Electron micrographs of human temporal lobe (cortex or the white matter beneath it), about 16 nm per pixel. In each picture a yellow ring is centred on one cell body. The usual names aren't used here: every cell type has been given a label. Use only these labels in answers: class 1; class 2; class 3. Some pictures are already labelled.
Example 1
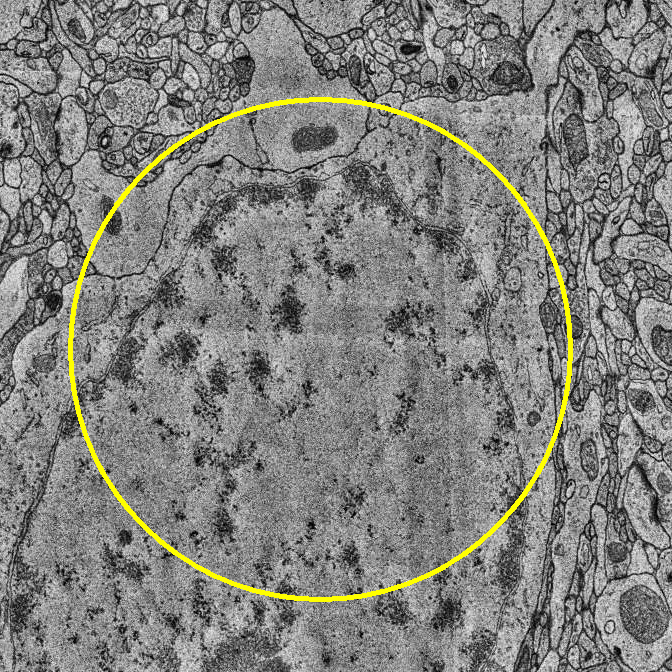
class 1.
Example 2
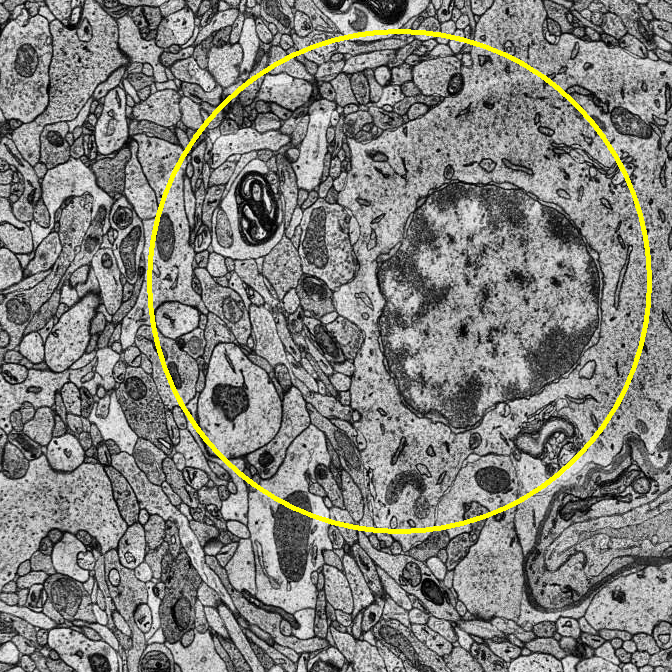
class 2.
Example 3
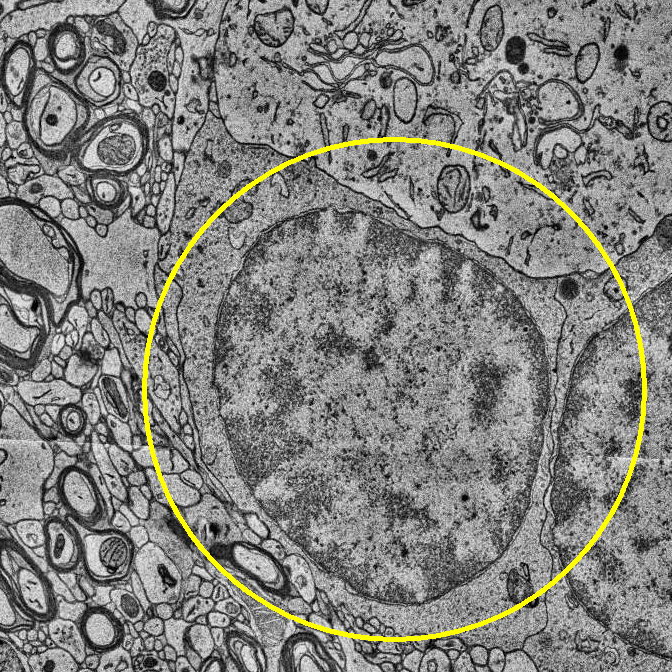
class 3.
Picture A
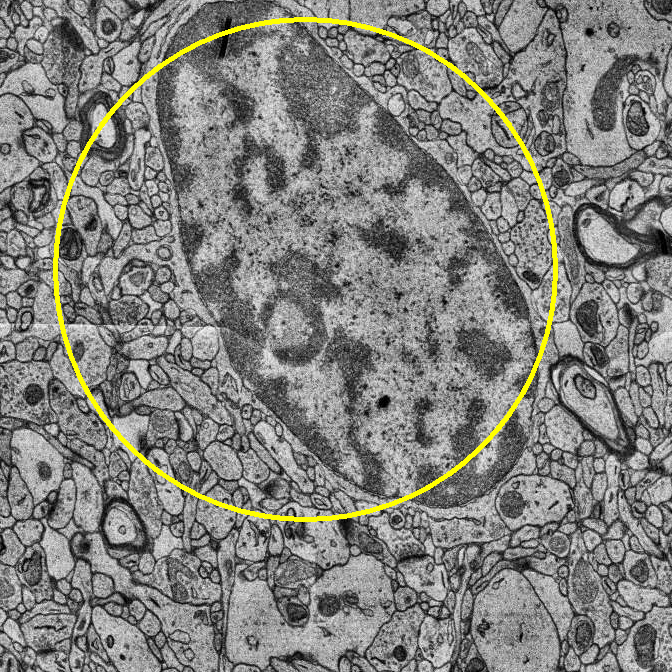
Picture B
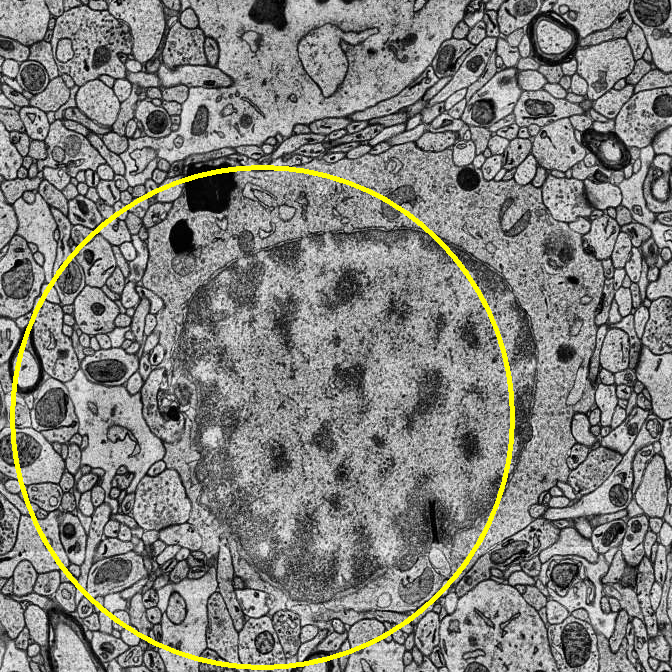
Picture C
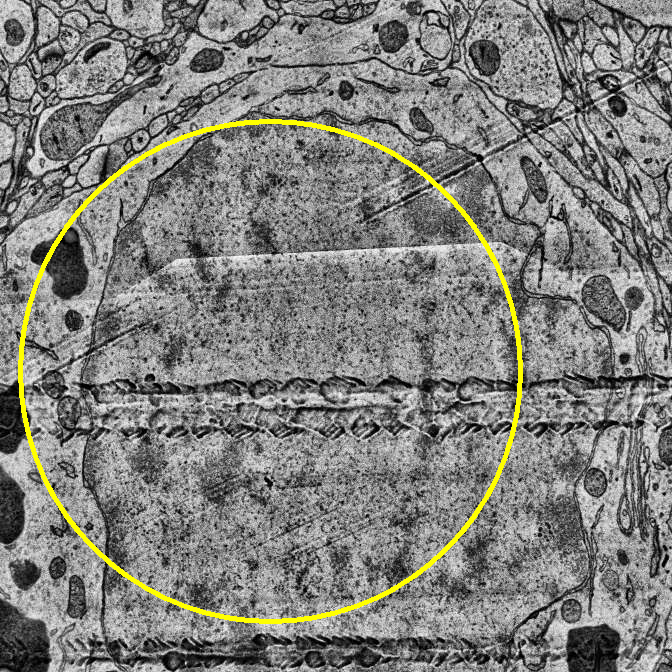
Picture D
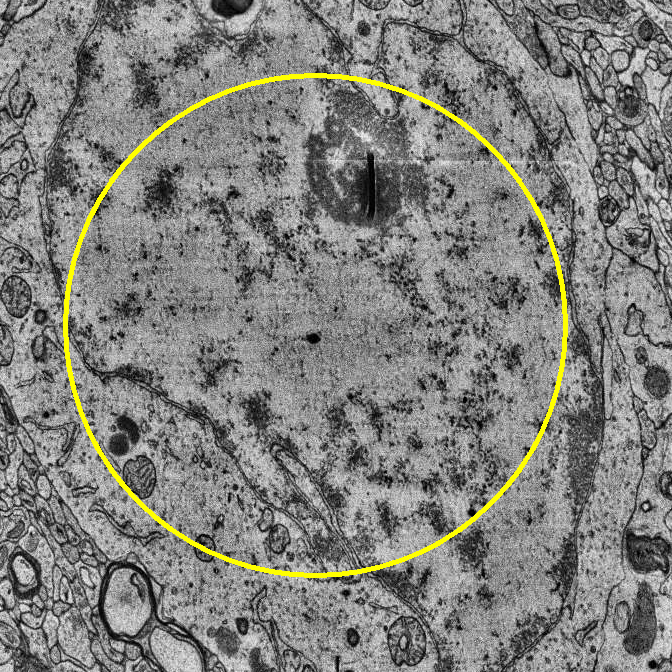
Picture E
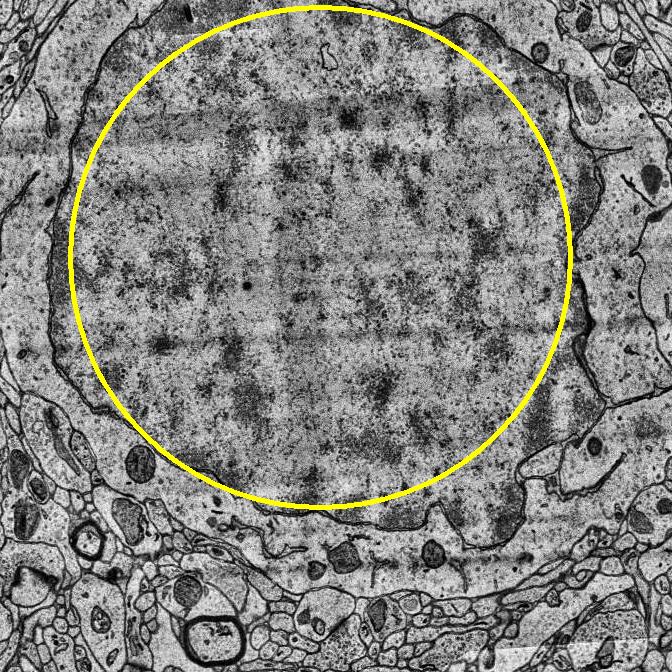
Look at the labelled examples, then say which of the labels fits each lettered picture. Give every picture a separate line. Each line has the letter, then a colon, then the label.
A: class 2.
B: class 3.
C: class 1.
D: class 1.
E: class 1.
